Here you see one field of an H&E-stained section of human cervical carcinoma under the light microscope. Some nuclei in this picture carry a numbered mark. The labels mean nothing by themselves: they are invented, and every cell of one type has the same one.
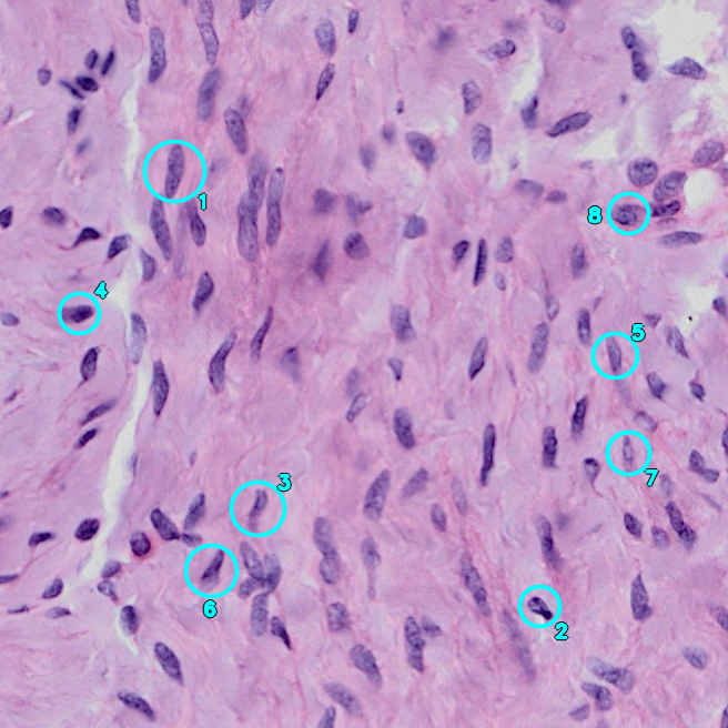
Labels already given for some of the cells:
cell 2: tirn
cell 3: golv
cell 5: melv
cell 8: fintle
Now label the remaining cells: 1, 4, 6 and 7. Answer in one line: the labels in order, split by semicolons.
golv; golv; golv; melv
